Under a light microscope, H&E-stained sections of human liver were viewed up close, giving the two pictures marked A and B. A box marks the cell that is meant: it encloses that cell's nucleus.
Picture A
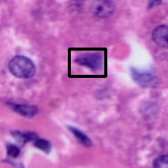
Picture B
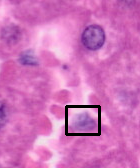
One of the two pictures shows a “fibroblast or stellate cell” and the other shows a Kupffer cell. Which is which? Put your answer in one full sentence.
Picture A is of a “fibroblast or stellate cell”, and picture B is of a Kupffer cell.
